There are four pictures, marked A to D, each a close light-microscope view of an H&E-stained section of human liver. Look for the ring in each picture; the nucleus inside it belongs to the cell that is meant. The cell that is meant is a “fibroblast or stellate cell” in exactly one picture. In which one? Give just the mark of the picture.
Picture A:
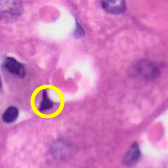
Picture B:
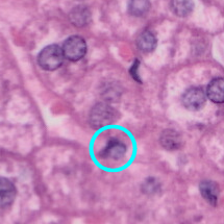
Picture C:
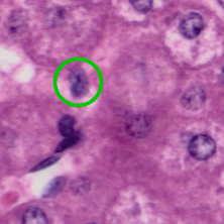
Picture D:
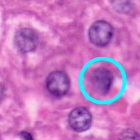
A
